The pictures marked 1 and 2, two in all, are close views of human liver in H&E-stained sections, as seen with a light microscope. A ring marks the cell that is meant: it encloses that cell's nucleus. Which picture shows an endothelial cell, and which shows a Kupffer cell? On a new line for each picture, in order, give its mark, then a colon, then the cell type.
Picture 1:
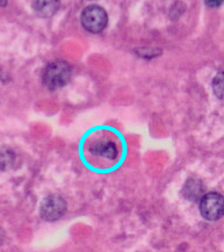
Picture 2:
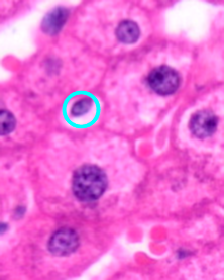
1: endothelial cell
2: Kupffer cell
